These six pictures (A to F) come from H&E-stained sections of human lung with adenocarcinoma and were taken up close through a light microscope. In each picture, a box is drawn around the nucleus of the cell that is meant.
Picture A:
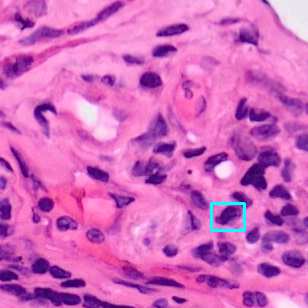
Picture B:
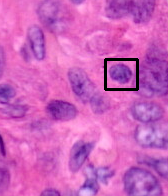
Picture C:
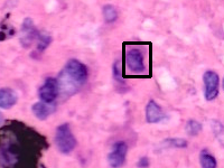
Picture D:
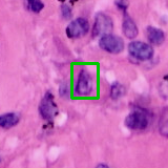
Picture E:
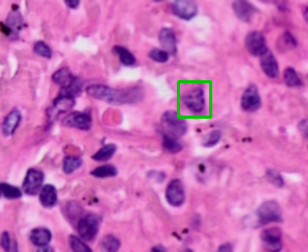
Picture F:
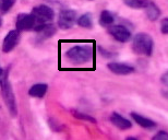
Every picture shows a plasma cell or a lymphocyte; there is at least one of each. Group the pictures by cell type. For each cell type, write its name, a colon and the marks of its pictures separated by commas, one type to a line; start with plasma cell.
plasma cell: C, D, E
lymphocyte: A, B, F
